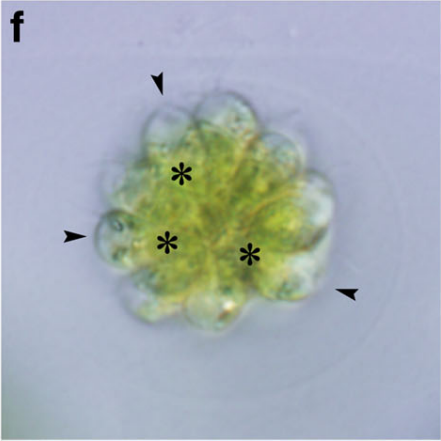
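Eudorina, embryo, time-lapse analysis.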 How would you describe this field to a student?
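A small rounded colony of green algal cells is seen, the cells packed radially into a sphere. Each cell has a green, granular body directed toward the centre and a pale, colourless end that bulges outward at the rim, giving the colony a lobed outline. The green parts converge in the middle while the pale ends form a ring around the edge.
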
